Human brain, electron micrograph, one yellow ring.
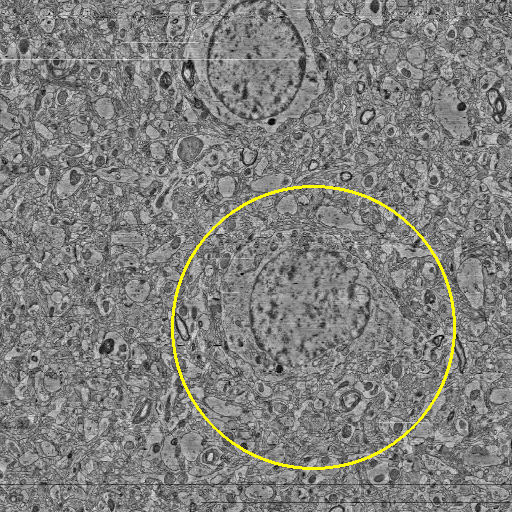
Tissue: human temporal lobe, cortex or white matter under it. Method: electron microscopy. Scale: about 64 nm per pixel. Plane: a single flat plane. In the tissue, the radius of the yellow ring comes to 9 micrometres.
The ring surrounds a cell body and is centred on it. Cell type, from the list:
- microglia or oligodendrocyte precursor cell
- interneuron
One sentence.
The yellow ring circles an interneuron.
